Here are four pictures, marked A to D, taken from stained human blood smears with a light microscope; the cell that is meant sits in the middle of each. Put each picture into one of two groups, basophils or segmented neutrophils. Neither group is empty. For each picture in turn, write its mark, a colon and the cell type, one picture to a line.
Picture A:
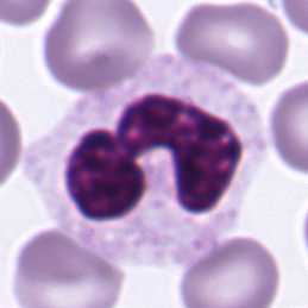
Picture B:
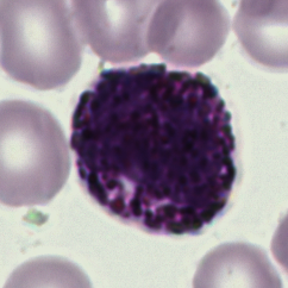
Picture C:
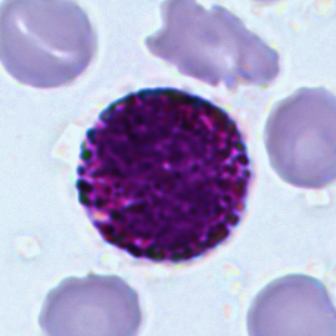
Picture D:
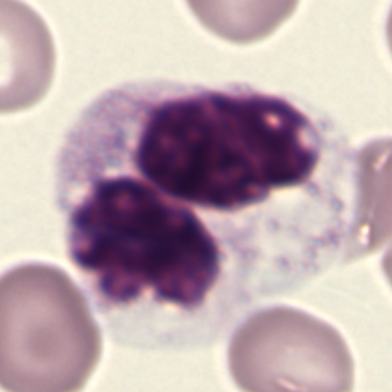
A: segmented neutrophil
B: basophil
C: basophil
D: segmented neutrophil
